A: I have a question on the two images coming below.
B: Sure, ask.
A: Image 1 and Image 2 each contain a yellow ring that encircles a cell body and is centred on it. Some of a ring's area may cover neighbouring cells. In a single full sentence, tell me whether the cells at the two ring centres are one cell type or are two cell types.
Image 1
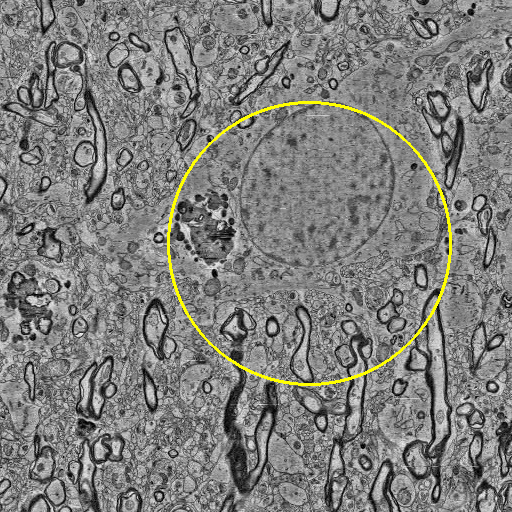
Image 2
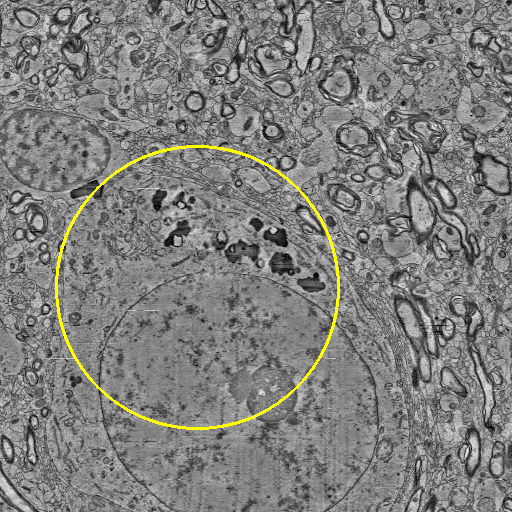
As for the ring-centre cells, the one in Image 1 and the one in Image 2 are two cell types.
